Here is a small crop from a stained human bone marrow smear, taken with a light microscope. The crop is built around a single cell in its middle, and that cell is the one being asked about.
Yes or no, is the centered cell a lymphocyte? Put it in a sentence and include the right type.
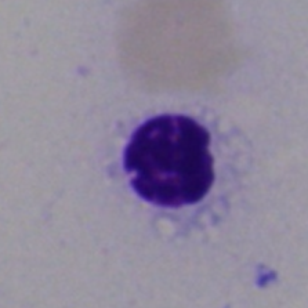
No, looking at the central cell, it is a normoblast rather than a lymphocyte.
